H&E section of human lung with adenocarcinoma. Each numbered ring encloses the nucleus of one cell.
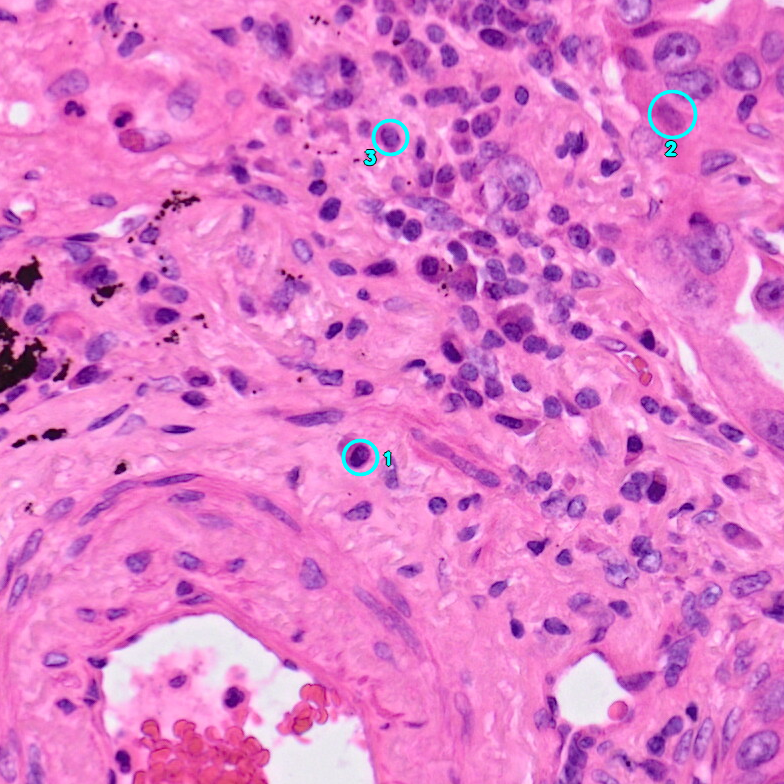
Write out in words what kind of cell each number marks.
Cell 1 is a plasma cell, cell 2 is a carcinoma cell and cell 3 is a plasma cell.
